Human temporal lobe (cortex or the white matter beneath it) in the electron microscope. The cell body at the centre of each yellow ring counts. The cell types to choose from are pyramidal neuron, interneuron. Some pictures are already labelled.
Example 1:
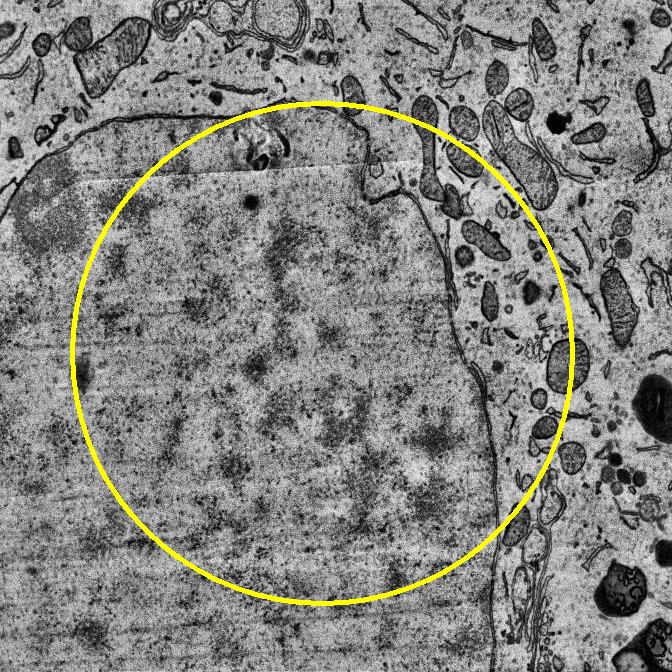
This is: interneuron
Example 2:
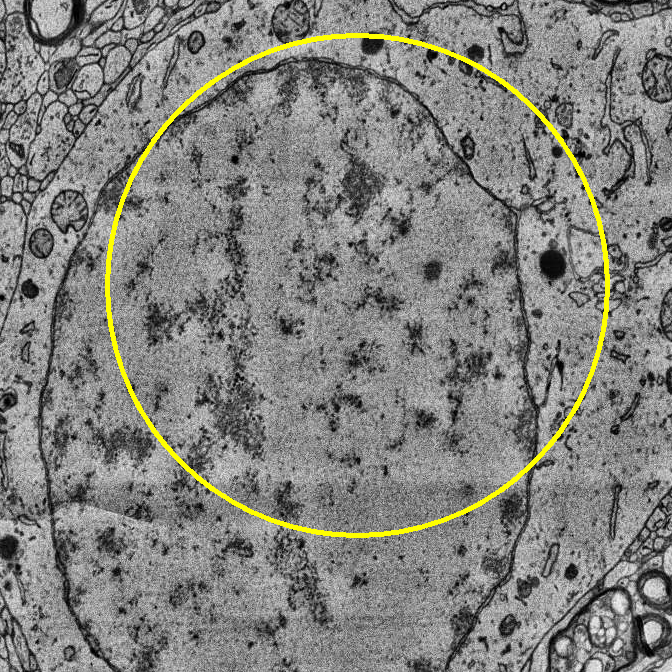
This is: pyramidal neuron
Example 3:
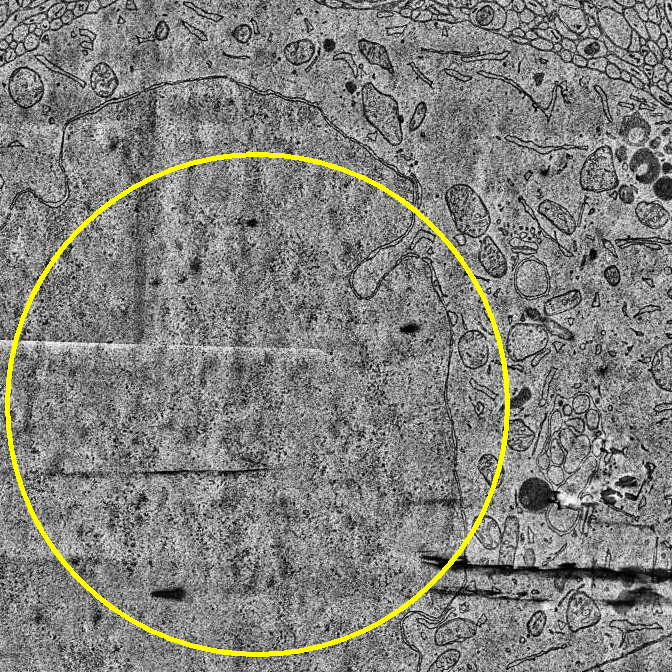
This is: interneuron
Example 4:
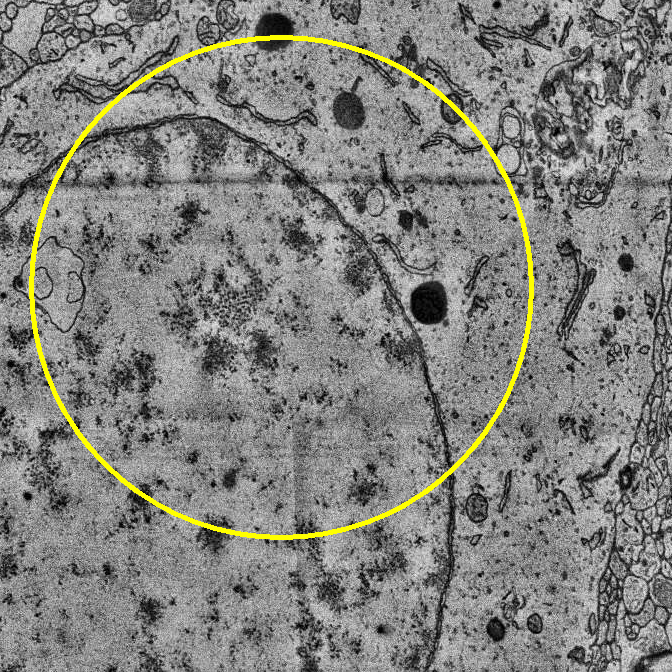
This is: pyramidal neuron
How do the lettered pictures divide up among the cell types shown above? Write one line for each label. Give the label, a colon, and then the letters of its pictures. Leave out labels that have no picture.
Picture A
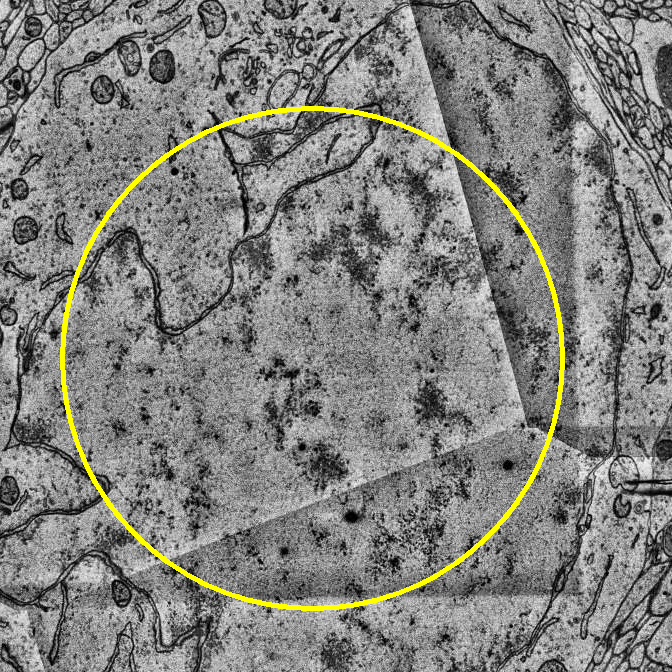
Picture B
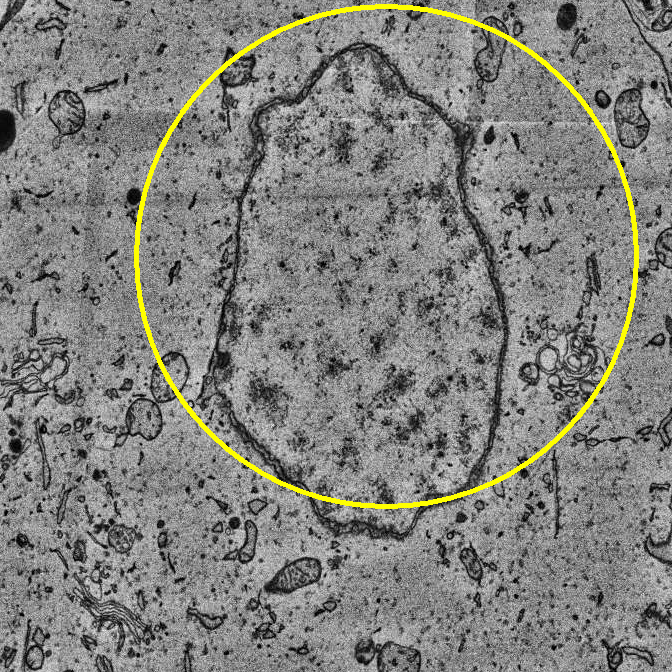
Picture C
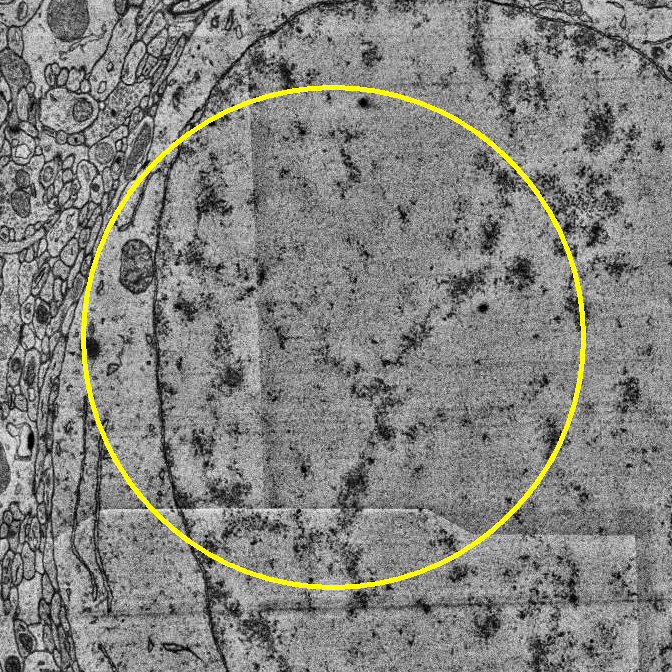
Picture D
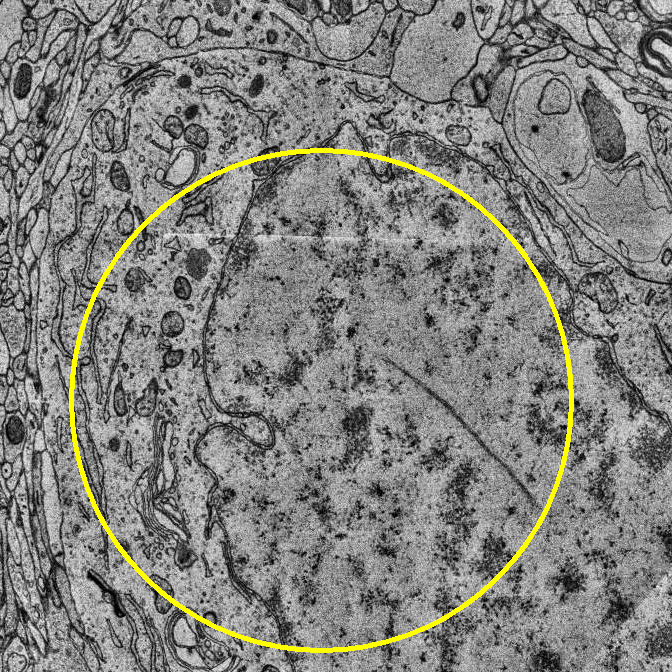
pyramidal neuron: B, C
interneuron: A, D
